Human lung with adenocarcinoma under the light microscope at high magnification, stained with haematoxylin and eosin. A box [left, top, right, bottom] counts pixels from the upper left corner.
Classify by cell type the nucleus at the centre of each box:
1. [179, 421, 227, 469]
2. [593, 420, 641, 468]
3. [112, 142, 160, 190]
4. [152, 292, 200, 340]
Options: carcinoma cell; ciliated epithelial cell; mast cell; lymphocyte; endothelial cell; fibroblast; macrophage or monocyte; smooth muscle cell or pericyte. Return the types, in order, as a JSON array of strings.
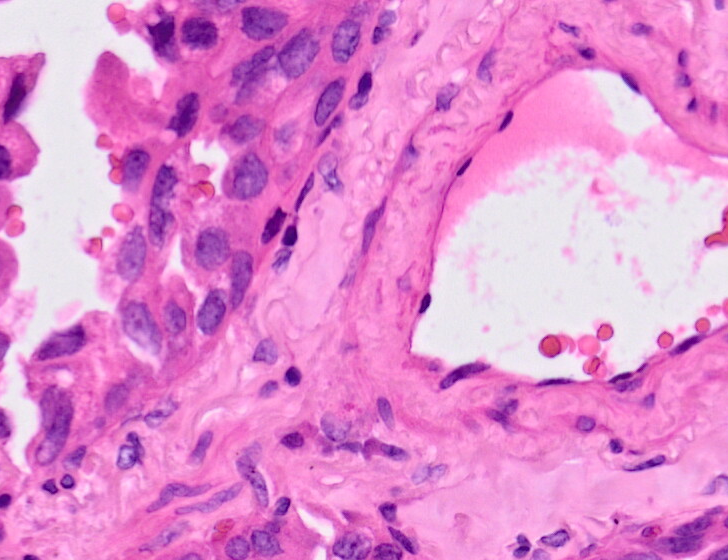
["smooth muscle cell or pericyte", "smooth muscle cell or pericyte", "carcinoma cell", "carcinoma cell"]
